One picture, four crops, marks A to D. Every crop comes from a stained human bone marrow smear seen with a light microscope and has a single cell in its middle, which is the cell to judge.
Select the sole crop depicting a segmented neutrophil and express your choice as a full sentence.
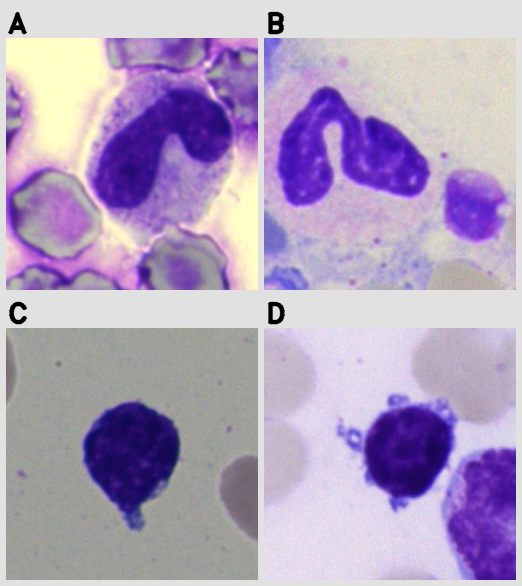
Here the crop that shows a segmented neutrophil is crop B.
